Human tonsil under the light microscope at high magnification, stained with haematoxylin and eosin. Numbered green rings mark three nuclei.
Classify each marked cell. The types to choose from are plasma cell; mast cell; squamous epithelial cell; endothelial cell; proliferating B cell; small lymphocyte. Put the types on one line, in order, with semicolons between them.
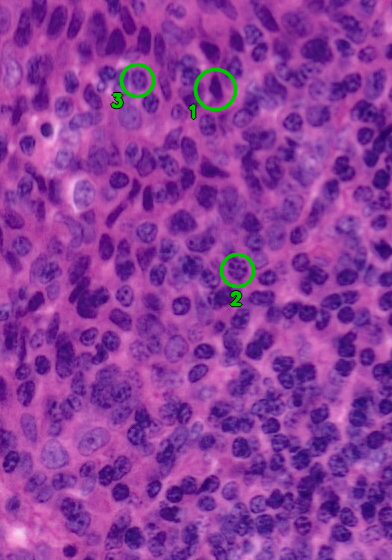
squamous epithelial cell; plasma cell; plasma cell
